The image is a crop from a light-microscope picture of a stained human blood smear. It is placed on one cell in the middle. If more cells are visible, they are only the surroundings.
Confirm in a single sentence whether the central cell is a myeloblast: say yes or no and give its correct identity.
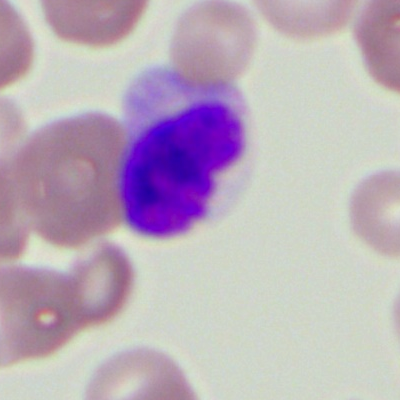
No, the central cell is identified not as a myeloblast but as a lymphocyte.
